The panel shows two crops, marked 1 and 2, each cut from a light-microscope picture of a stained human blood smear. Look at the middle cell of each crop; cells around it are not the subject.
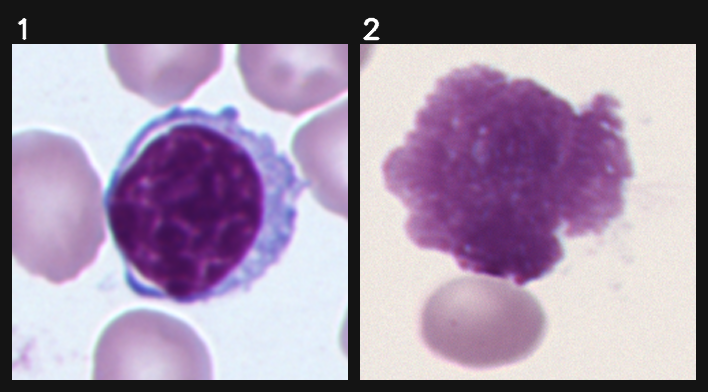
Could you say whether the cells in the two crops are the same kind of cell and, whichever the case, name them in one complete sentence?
No, crop 1 shows a typical lymphocyte and crop 2 shows a smudge cell.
